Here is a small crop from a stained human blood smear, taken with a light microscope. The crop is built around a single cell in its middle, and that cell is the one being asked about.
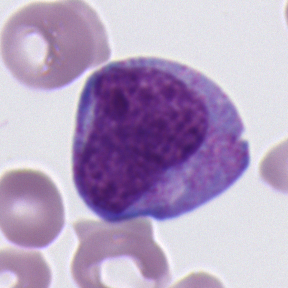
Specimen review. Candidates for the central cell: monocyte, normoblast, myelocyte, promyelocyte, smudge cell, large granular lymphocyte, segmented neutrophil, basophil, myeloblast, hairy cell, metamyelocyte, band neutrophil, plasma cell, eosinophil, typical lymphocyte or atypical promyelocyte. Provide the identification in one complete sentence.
For this crop, the cell in the middle is an atypical promyelocyte.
